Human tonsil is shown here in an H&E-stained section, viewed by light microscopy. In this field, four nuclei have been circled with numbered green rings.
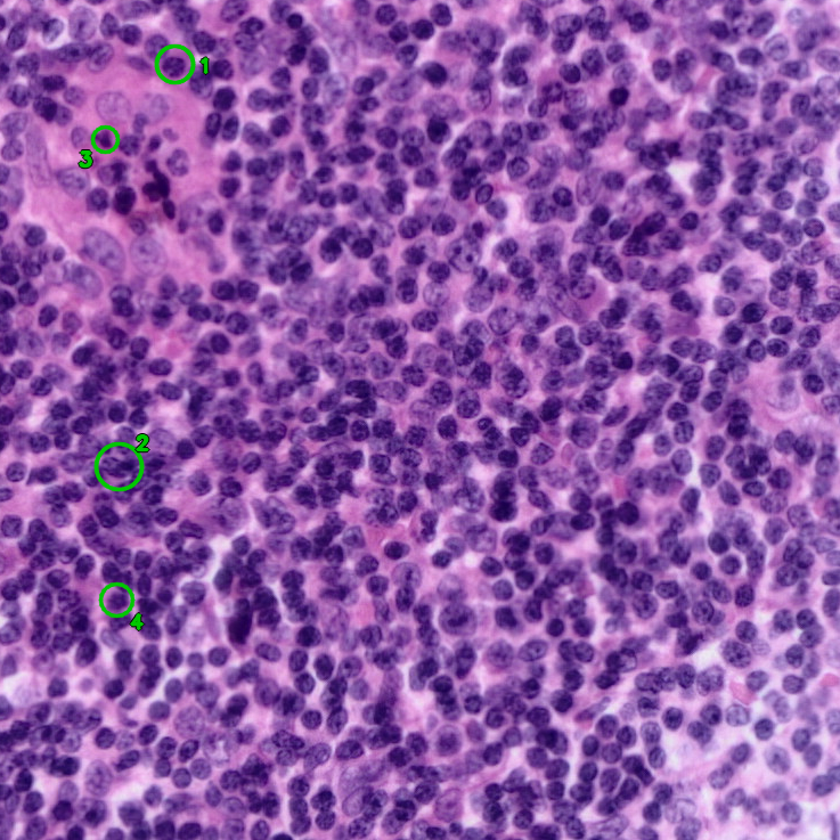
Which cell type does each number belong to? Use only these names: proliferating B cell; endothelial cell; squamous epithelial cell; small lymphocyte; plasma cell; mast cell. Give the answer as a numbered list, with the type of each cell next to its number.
1. plasma cell
2. small lymphocyte
3. endothelial cell
4. small lymphocyte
